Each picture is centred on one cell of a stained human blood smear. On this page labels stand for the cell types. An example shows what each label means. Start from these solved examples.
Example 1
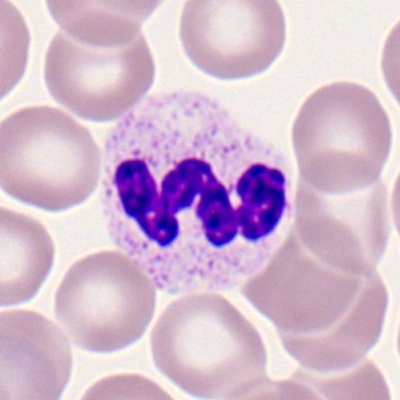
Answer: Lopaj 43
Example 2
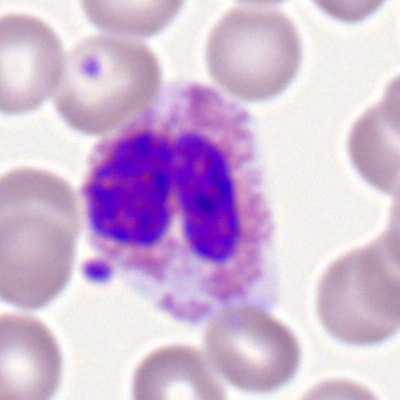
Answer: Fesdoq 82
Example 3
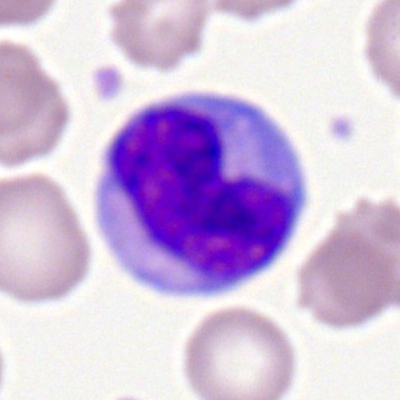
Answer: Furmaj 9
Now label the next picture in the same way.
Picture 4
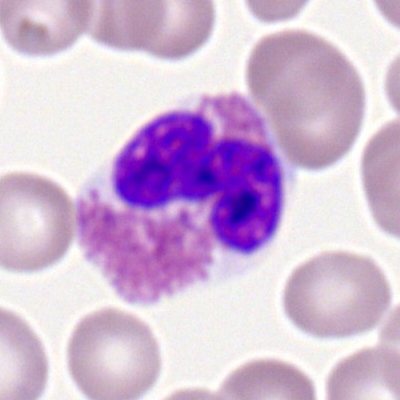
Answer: Fesdoq 82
